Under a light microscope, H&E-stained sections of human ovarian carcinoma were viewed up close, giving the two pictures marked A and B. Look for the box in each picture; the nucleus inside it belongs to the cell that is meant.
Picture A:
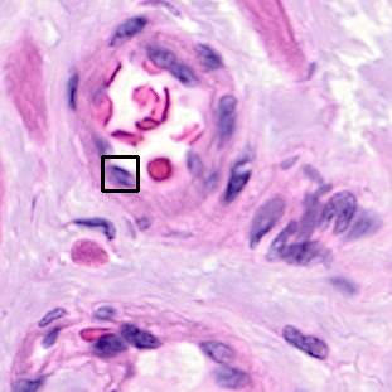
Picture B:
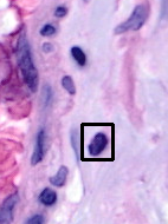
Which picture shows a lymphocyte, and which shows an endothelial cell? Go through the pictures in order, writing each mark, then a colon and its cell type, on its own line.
A: endothelial cell
B: lymphocyte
